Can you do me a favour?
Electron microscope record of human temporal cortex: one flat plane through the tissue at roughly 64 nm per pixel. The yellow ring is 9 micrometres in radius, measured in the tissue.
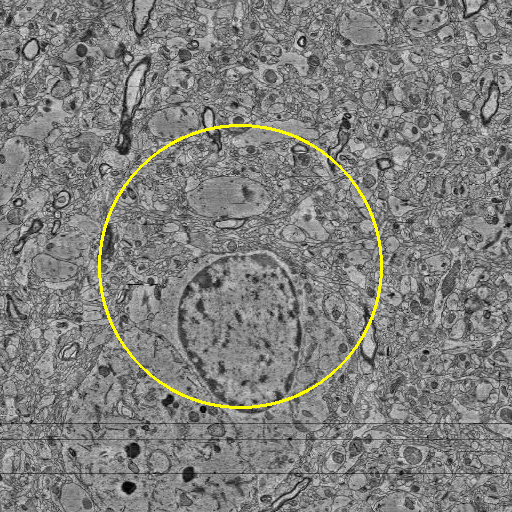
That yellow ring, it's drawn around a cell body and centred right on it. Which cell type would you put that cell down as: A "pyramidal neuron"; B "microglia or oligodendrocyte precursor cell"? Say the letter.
B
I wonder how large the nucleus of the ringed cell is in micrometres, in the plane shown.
The nucleus comes to roughly 10 by 8 micrometres in this plane.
